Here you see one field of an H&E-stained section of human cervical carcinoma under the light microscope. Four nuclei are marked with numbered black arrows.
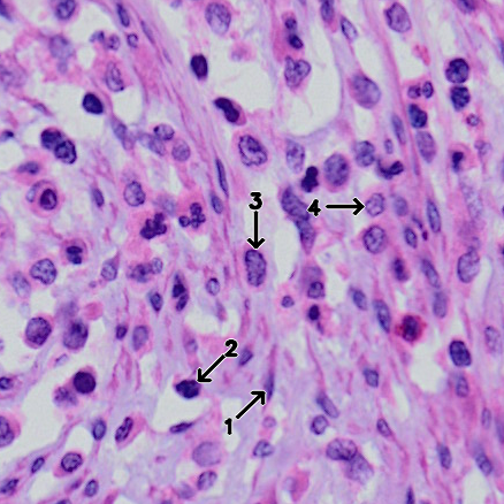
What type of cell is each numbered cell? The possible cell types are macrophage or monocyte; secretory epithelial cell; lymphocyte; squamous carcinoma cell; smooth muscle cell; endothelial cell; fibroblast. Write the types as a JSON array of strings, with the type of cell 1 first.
["fibroblast", "lymphocyte", "macrophage or monocyte", "macrophage or monocyte"]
